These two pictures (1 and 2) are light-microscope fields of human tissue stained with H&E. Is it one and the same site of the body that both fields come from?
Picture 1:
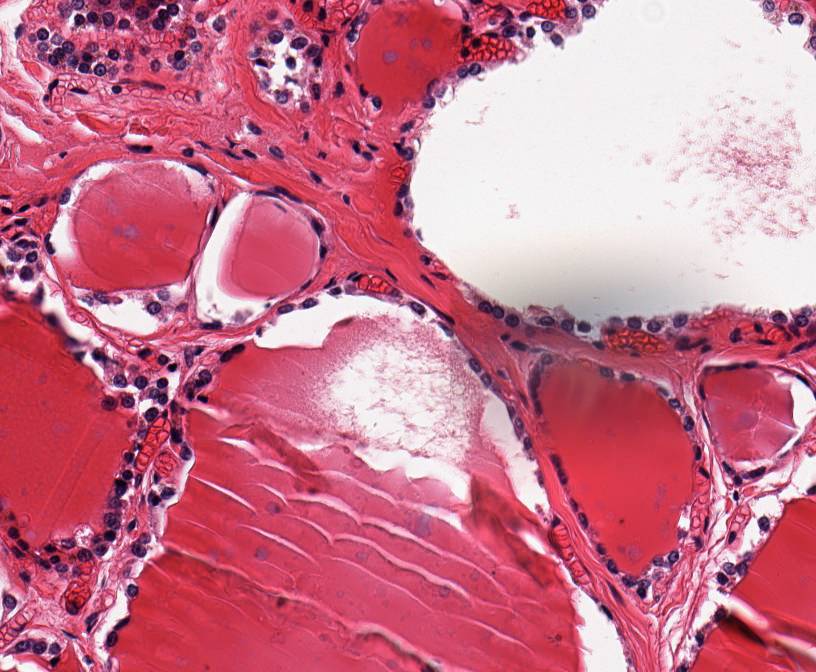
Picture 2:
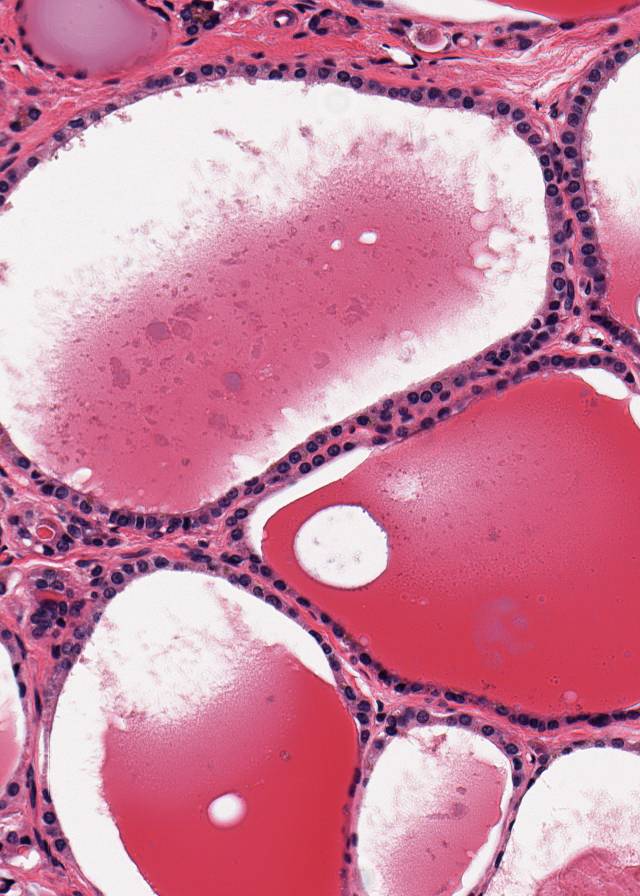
yes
